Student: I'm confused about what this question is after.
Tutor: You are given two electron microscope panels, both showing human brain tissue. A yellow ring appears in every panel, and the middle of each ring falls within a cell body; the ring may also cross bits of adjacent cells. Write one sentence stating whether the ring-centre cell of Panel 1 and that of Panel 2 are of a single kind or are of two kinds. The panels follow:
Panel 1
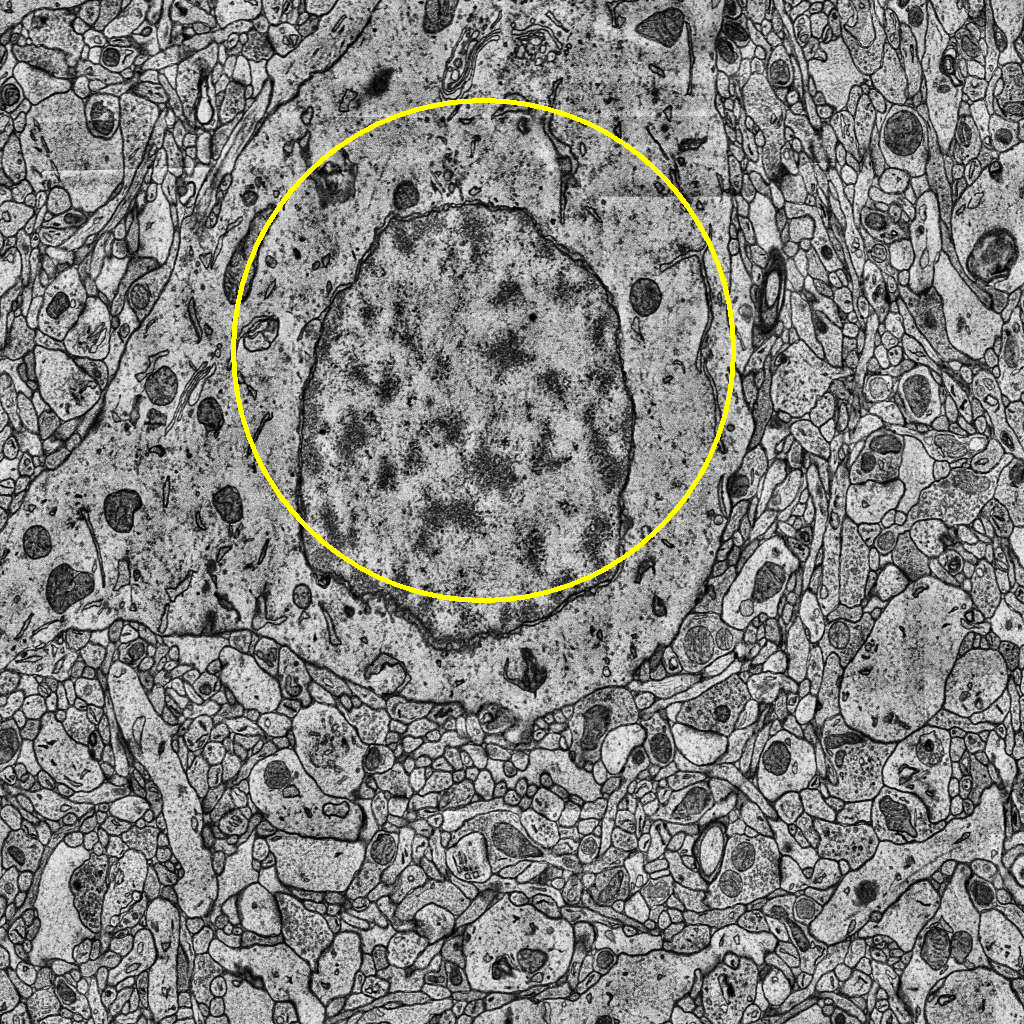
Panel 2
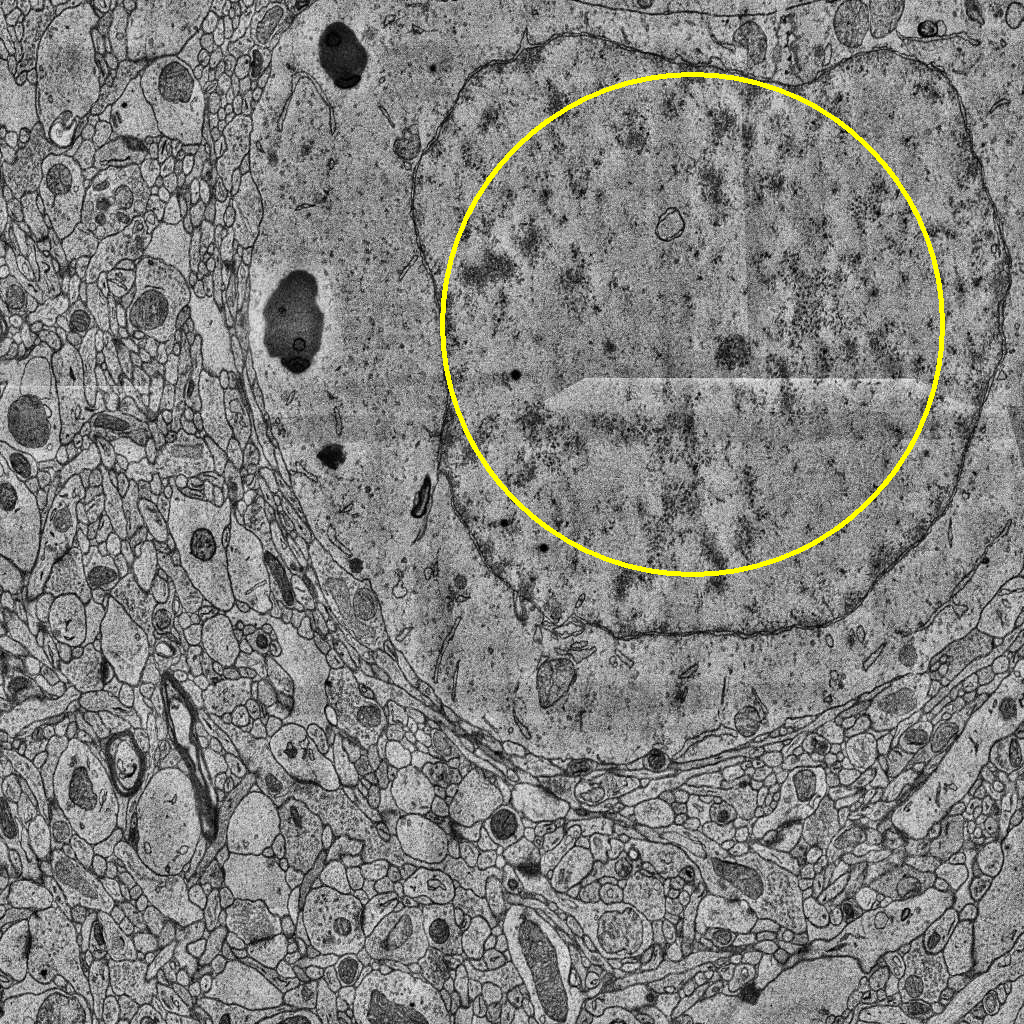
Here, the Panel 1 ring-centre cell and the Panel 2 ring-centre cell are of a single kind.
